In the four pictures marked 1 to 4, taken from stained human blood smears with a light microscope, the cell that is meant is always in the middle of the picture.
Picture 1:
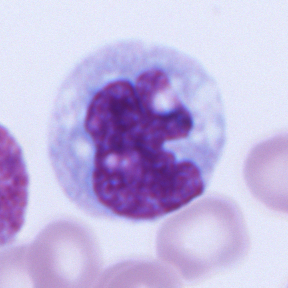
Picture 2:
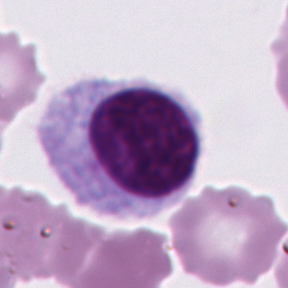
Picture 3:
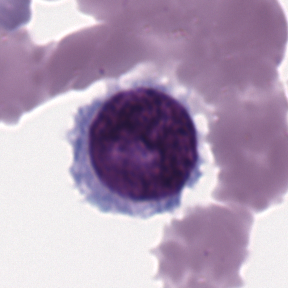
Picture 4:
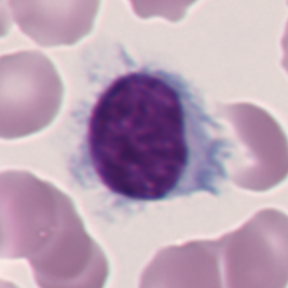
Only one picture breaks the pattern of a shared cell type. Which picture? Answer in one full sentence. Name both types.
All pictures except 1 show hairy cells; picture 1 shows a monocyte.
